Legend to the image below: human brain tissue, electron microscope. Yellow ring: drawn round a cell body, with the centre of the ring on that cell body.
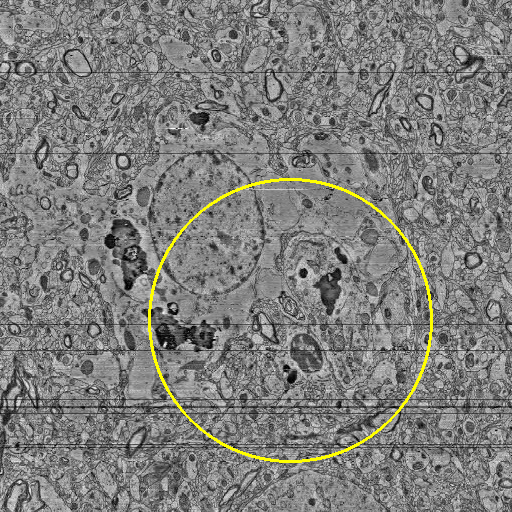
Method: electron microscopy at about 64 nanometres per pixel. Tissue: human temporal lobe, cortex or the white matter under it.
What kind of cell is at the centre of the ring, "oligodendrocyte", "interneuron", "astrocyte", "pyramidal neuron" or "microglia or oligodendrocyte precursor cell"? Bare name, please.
microglia or oligodendrocyte precursor cell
